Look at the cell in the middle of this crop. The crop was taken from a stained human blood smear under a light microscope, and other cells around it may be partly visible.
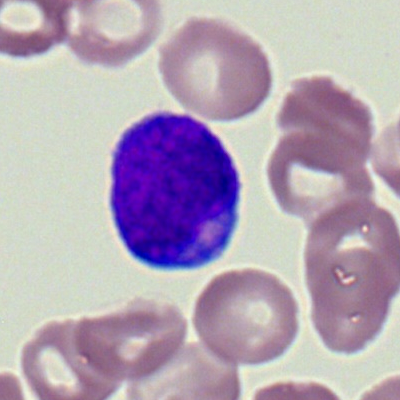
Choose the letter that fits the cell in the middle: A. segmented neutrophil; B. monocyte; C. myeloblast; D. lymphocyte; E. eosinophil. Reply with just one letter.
D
